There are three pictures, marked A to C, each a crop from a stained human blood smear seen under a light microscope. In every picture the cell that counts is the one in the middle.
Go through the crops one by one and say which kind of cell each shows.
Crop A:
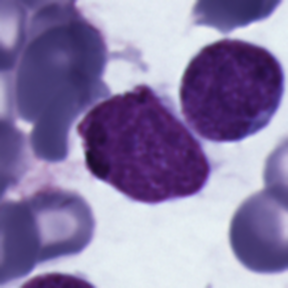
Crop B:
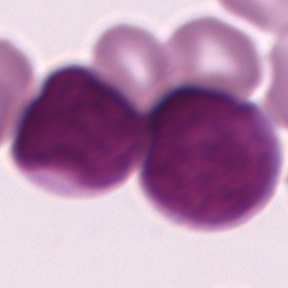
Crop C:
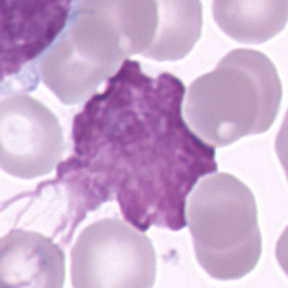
A: myeloblast
B: myeloblast
C: smudge cell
